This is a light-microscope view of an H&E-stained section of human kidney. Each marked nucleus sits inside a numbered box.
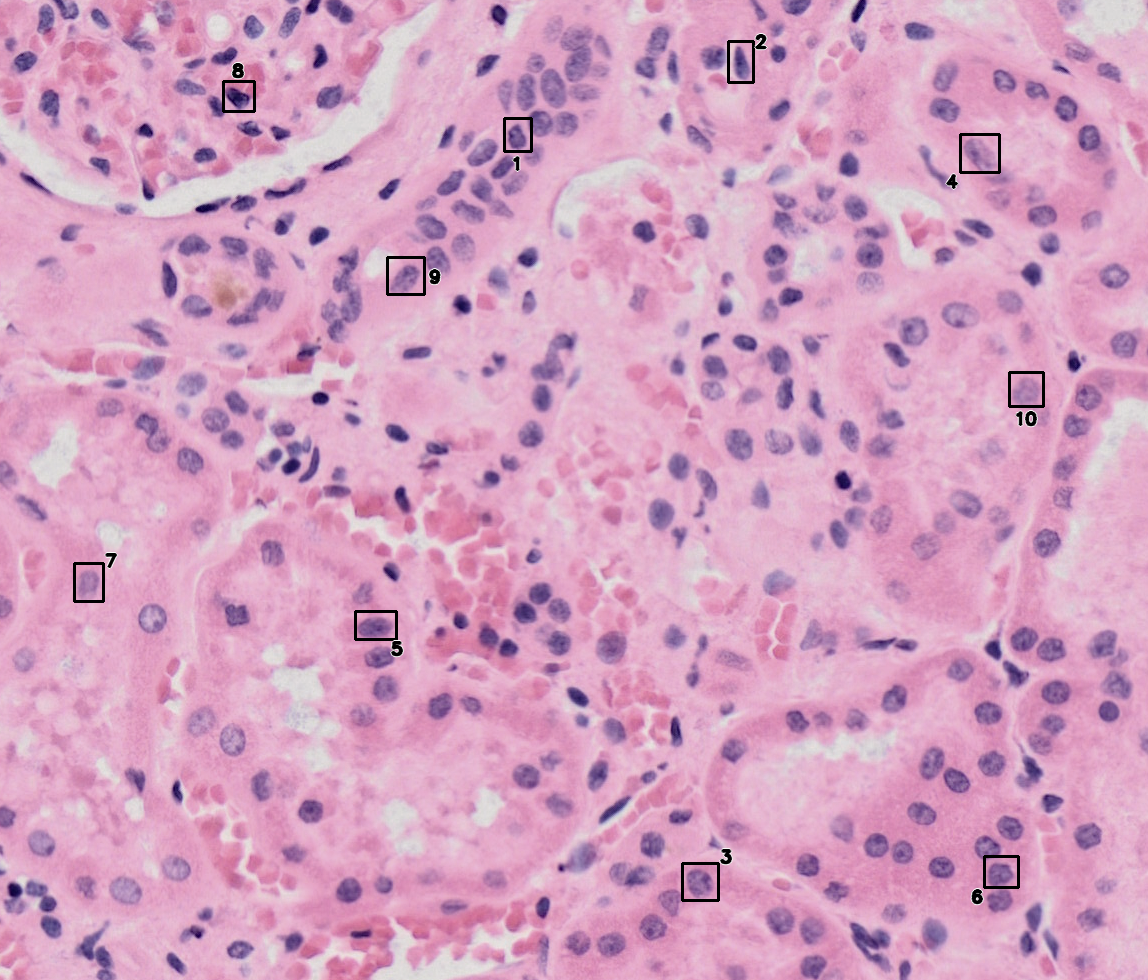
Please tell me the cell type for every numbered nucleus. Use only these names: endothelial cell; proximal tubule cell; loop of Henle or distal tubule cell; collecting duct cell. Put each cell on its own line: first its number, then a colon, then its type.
1: collecting duct cell
2: endothelial cell
3: proximal tubule cell
4: proximal tubule cell
5: proximal tubule cell
6: proximal tubule cell
7: proximal tubule cell
8: endothelial cell
9: collecting duct cell
10: proximal tubule cell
